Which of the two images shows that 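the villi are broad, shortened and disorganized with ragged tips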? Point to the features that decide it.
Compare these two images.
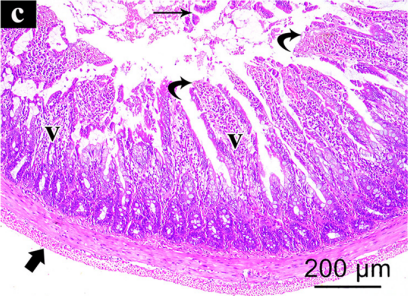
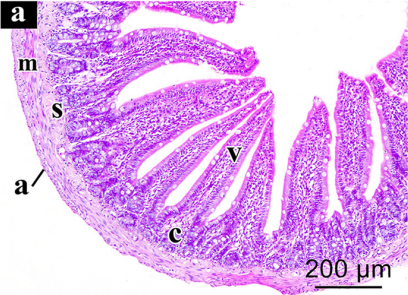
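First image: villi are short and wide with torn, irregular tips and debris in the lumen. Second image: villi are long, slender and orderly with narrow intact tips. The answer: the first image.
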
